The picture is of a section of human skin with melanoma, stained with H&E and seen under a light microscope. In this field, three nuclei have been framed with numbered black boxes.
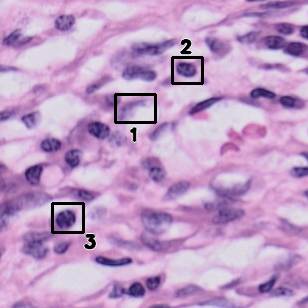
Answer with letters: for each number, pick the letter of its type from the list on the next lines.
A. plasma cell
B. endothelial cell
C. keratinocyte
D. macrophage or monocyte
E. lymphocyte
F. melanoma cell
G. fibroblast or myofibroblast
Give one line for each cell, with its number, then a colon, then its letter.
1: G
2: E
3: A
